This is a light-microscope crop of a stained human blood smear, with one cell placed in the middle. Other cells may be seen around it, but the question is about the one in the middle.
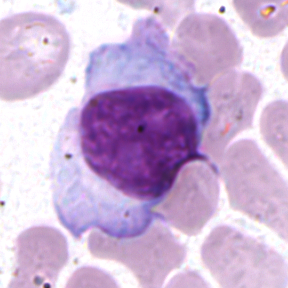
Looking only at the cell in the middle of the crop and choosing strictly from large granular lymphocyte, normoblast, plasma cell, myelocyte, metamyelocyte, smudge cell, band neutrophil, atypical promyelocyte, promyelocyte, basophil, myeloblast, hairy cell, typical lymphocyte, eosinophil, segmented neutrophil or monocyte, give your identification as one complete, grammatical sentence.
The cell marked by its central position in the crop is a plasma cell.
